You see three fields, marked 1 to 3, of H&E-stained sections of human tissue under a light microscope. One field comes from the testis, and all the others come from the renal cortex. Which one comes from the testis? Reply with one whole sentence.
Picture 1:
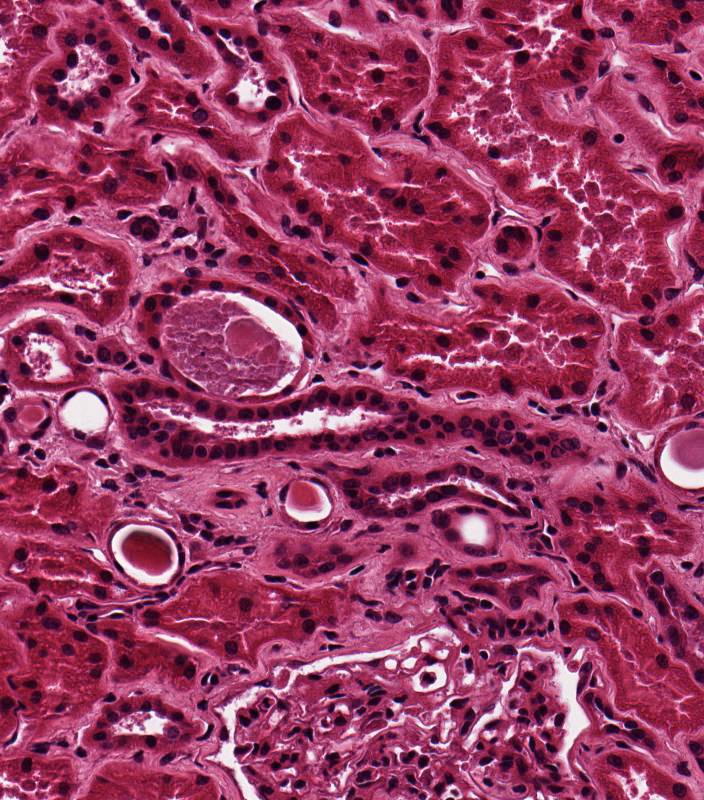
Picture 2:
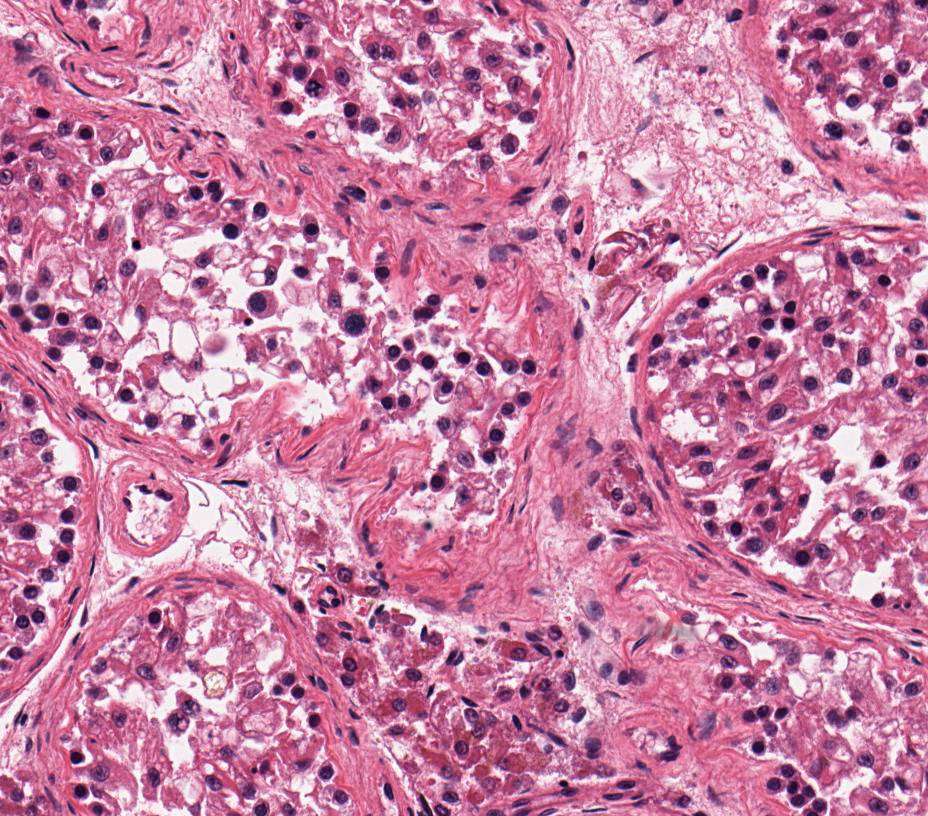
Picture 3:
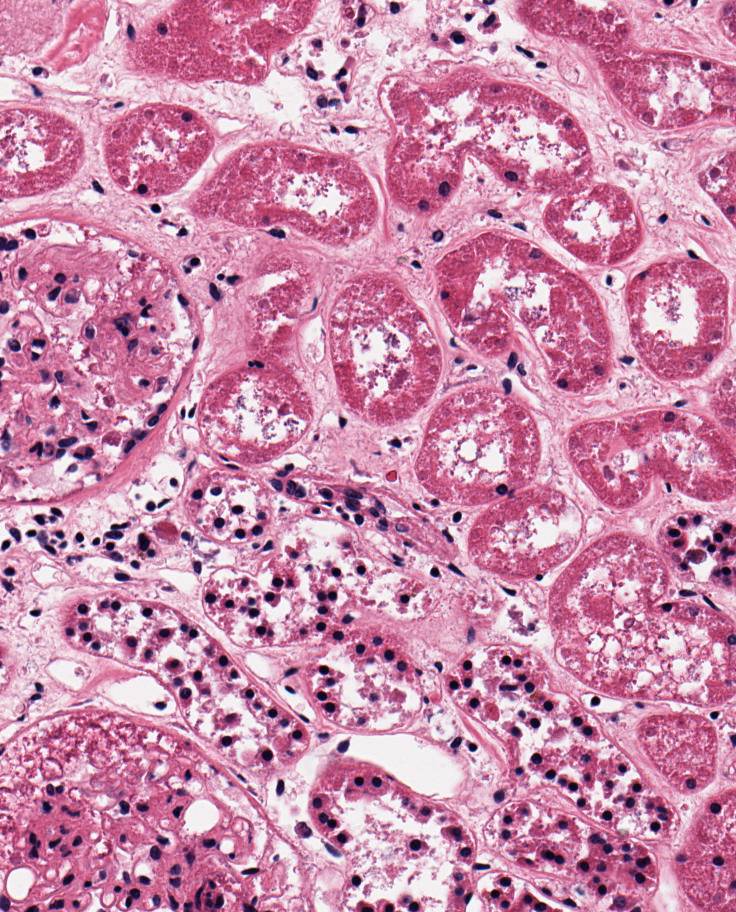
The one that comes from the testis is picture 2.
